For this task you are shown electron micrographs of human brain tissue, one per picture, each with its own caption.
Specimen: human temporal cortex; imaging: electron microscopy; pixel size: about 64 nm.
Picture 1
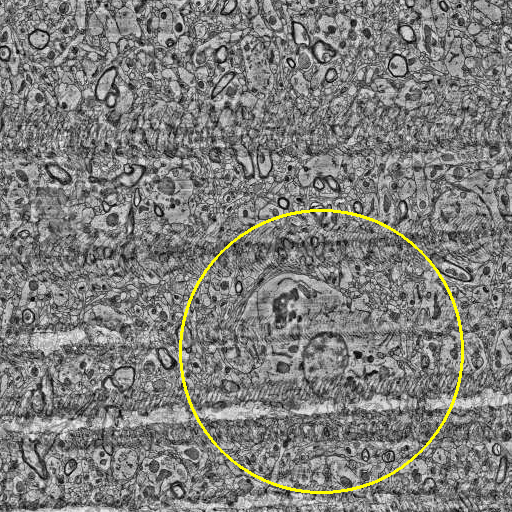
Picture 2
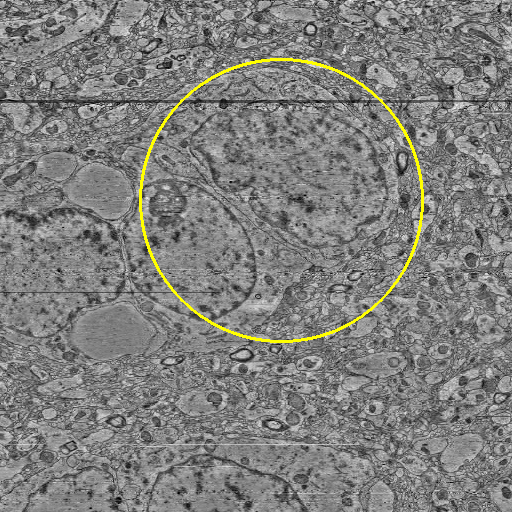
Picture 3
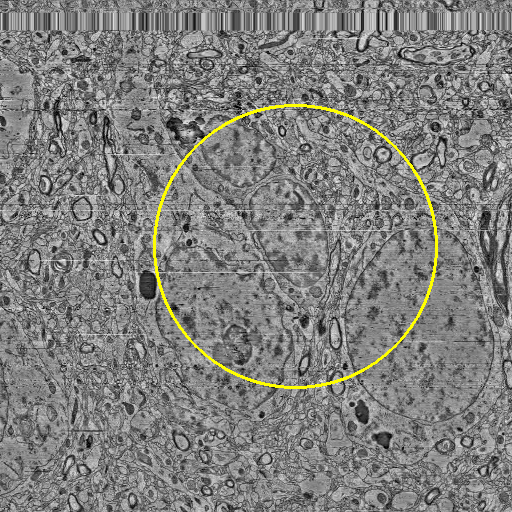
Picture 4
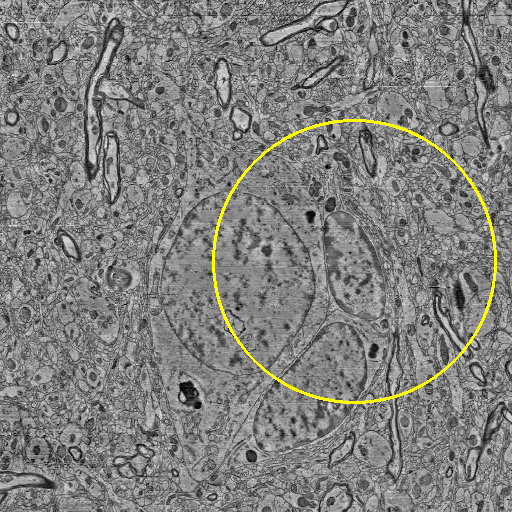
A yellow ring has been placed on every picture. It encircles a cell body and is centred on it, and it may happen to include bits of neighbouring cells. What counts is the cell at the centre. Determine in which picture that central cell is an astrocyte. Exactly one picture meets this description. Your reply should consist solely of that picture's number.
1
